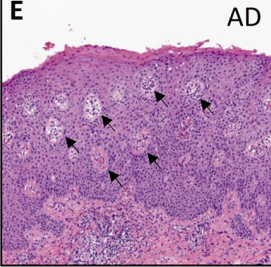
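This is inflamed skin in which the epidermis is greatly thickened, forming a broad sheet of keratinocytes that fills most of the field. Within this thickened epidermis lie many rounded pale spaces where fluid separates the keratinocytes, giving a spongy, bubbly appearance. The keratinocytes have purple nuclei and pink cytoplasm, and the deeper layers appear more densely packed with nuclei. A thin layer of surface keratin sits at the top, and the underlying dermis at the bottom contains scattered cells.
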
